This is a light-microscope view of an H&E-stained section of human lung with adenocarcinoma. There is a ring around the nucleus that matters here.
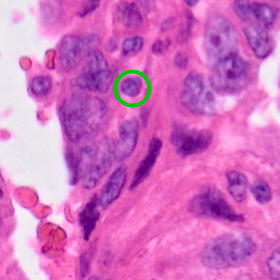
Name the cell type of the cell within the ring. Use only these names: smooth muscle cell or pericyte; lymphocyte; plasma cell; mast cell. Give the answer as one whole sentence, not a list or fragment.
For the purposes of cell typing, the cell within the ring is categorized as a lymphocyte.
